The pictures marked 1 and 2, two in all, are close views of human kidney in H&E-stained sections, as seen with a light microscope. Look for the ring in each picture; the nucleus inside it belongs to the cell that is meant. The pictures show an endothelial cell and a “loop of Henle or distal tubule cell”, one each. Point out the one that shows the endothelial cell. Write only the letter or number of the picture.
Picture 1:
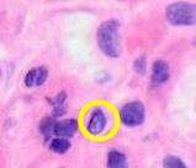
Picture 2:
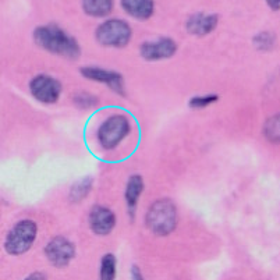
1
